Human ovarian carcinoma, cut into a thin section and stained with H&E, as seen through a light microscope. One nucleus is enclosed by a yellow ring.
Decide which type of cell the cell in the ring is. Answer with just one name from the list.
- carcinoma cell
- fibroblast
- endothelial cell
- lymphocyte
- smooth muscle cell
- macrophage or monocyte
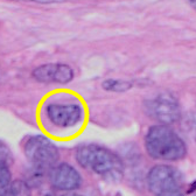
macrophage or monocyte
